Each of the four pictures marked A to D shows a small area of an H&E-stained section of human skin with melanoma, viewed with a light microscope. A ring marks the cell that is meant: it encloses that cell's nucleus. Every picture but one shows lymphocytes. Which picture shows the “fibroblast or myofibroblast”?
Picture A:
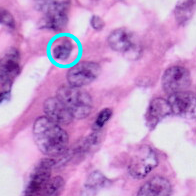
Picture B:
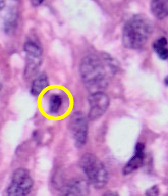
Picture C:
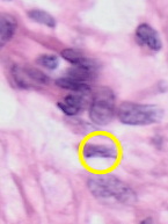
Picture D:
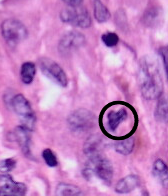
C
